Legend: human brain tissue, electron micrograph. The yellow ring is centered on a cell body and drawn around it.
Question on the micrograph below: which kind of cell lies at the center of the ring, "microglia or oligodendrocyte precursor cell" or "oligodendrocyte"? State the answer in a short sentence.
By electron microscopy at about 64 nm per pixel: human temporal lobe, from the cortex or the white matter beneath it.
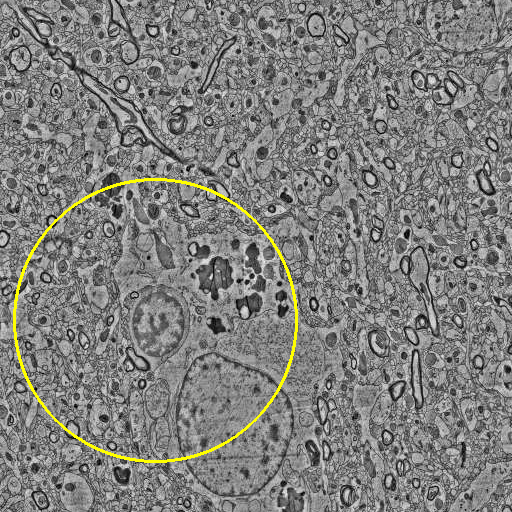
At the center of the ring lies an oligodendrocyte.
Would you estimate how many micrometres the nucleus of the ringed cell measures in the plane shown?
Roughly 4 micrometres by 3 micrometres, in this plane.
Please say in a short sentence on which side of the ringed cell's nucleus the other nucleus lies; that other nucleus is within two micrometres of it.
That other nucleus lies to the lower right of it.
